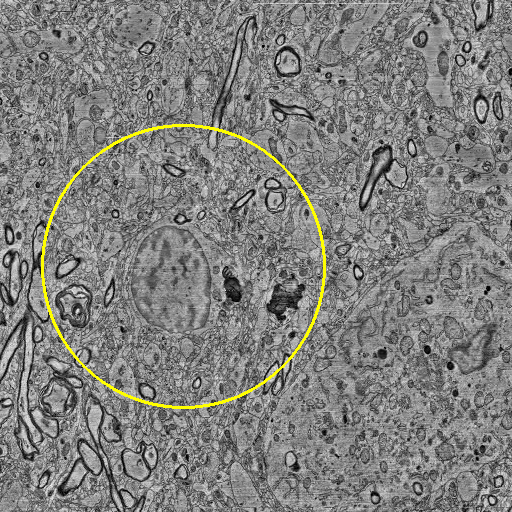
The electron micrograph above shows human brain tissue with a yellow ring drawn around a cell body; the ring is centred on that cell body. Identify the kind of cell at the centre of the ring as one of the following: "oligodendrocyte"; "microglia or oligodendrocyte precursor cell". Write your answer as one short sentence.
The cell at the centre of the ring is an oligodendrocyte.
